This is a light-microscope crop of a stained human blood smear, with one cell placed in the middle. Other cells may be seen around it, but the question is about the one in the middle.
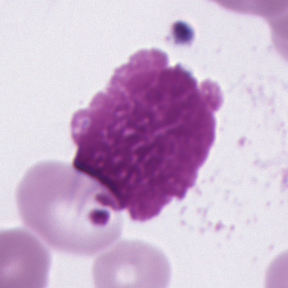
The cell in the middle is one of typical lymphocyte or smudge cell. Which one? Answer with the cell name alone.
smudge cell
